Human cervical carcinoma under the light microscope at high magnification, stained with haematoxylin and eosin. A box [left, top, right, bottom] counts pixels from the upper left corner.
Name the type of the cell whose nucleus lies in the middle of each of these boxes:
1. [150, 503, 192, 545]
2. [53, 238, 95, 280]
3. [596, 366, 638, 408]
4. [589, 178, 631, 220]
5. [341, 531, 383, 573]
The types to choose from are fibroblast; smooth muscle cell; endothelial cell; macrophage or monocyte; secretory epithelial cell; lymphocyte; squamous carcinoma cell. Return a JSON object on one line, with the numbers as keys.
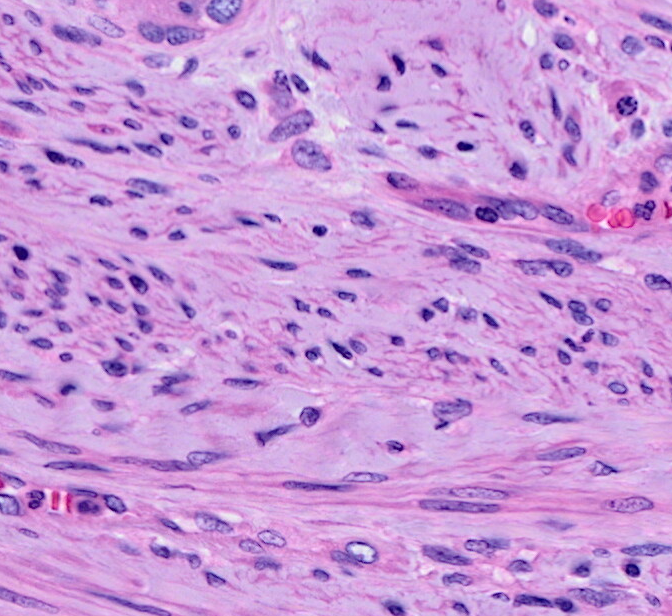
{"1": "endothelial cell", "2": "smooth muscle cell", "3": "smooth muscle cell", "4": "endothelial cell", "5": "endothelial cell"}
